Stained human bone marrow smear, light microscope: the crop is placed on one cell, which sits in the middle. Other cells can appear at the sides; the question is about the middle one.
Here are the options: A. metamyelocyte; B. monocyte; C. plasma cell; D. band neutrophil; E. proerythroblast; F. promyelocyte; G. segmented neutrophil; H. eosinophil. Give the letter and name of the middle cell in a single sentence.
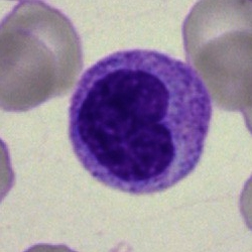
The cell in the middle is a metamyelocyte, and so option A is correct.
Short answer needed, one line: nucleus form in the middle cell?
A single compact nucleus, round, oval or kidney-shaped, is what this cell shows.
